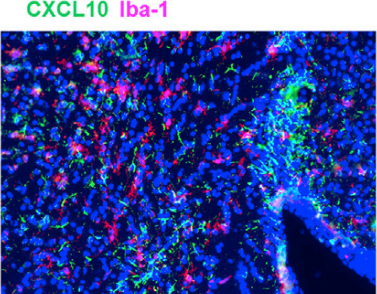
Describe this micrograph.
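This brain tissue, crowded with blue nuclei, borders a dark cavity at the lower right. The two colours mostly mark separate cells, lying intermingled rather than overlapping.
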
